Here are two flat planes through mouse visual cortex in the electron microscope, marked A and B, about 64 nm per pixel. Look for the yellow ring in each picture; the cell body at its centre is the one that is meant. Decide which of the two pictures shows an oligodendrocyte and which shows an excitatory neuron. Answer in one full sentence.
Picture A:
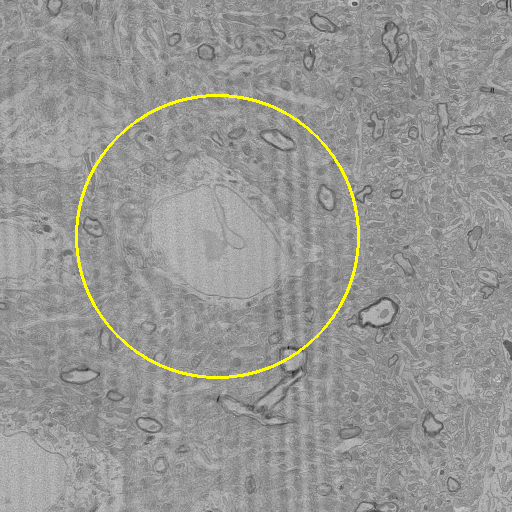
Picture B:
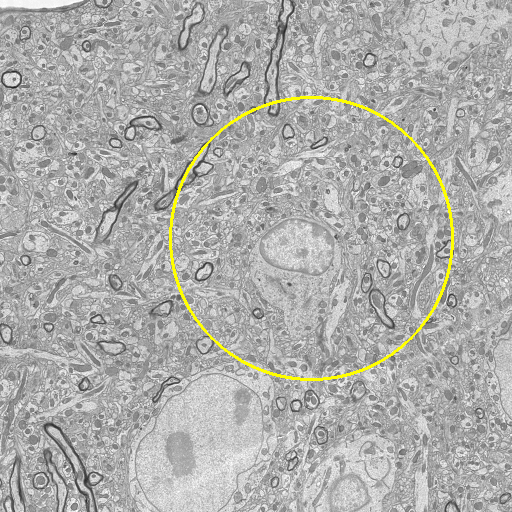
The cell in picture A is an excitatory neuron, and the one in picture B is an oligodendrocyte.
